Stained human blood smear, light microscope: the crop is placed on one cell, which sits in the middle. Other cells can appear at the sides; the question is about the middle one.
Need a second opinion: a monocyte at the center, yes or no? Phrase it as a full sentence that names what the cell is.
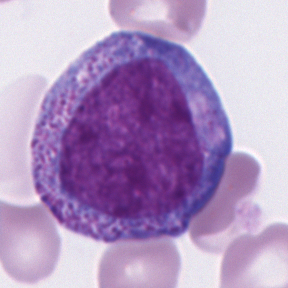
No, the centrally placed cell is a promyelocyte, not a monocyte.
